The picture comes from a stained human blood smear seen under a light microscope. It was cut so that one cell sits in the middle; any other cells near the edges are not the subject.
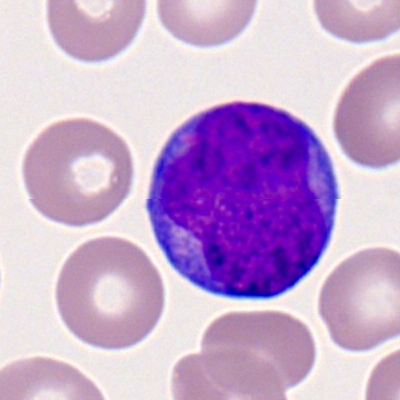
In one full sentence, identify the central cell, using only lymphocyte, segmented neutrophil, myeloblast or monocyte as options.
The crop centres on a single cell, and that cell is a myeloblast.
